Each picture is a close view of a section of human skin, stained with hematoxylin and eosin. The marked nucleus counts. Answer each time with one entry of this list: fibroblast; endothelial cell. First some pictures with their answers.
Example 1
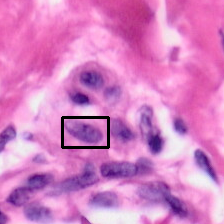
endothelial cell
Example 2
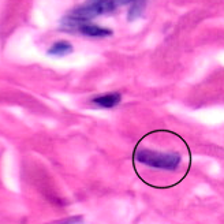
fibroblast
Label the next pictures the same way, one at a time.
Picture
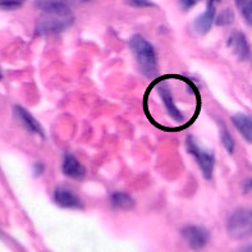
endothelial cell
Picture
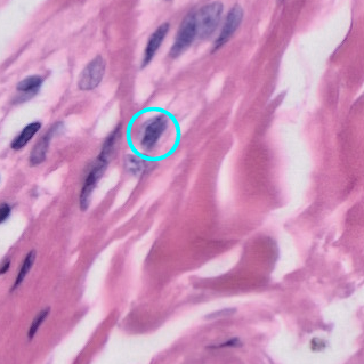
endothelial cell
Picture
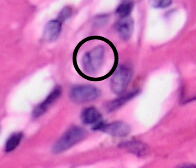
endothelial cell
